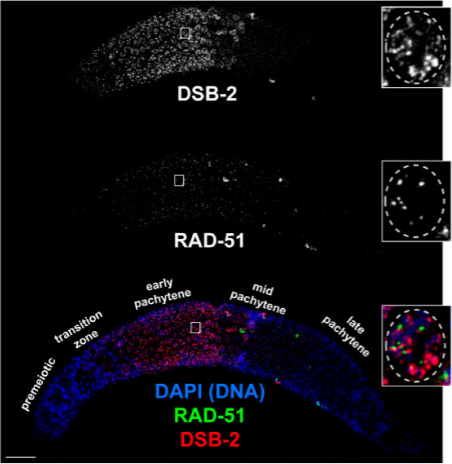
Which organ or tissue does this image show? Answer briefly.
germline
